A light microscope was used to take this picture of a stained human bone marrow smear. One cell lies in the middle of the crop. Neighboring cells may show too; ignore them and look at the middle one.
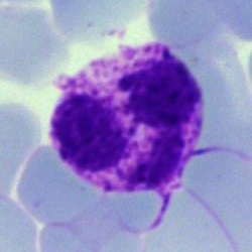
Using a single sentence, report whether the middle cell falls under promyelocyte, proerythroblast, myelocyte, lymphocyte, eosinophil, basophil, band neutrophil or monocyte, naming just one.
Seen at the centre of the crop is a basophil.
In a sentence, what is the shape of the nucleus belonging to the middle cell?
Its nucleus is lobed, with at least two separate segments.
